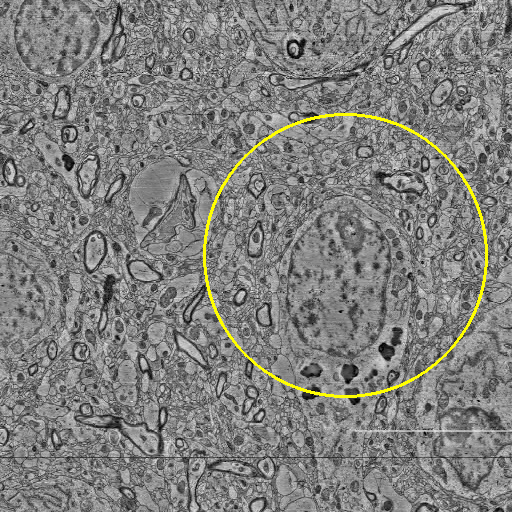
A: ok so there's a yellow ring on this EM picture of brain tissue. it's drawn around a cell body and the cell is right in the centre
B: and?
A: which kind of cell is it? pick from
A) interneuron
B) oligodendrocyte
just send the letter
A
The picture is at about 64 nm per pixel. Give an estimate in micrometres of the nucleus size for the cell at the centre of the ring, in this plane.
About 10 by 7 micrometres in this plane.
